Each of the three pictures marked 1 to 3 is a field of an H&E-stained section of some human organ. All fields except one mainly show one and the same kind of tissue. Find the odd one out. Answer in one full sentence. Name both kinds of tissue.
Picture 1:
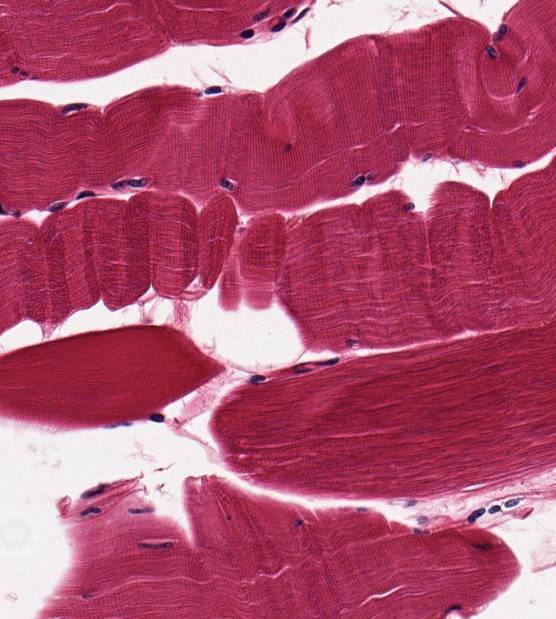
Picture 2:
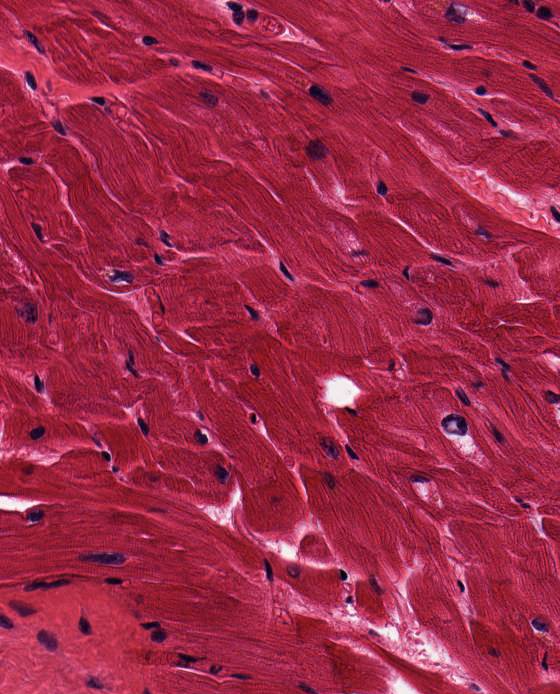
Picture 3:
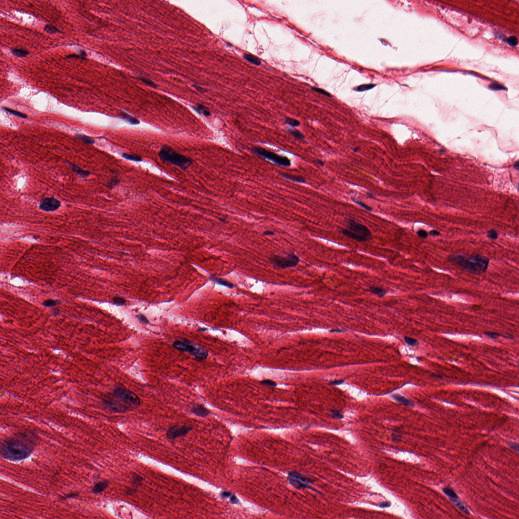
Picture 1 is the odd one out: it mainly shows skeletal muscle, while the others mainly show cardiac muscle.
